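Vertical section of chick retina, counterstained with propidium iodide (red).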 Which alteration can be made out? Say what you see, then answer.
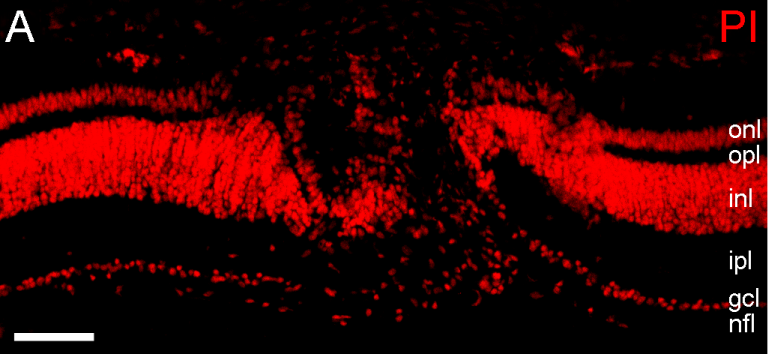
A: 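Focal lesion. The continuous red nuclear bands are interrupted in the centre of the section. In the centre, nuclei are scattered loosely through the normally nucleus-free layers. The retina on either side of the centre keeps regular layered bands.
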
